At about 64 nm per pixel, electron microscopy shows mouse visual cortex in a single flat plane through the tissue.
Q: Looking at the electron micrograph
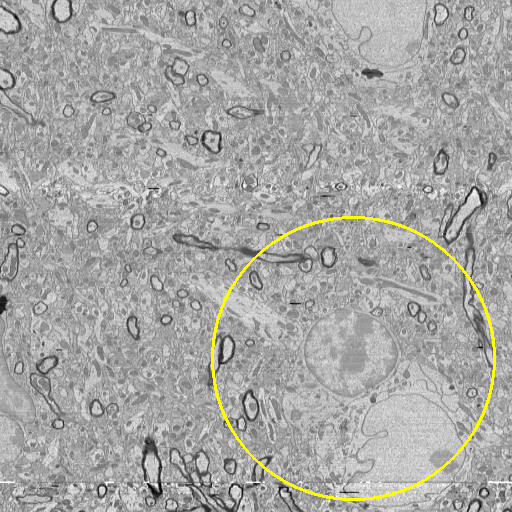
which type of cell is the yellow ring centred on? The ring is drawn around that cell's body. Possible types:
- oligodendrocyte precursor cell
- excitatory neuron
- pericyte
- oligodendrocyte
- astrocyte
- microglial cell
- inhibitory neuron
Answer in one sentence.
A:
The yellow ring is centred on an oligodendrocyte.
